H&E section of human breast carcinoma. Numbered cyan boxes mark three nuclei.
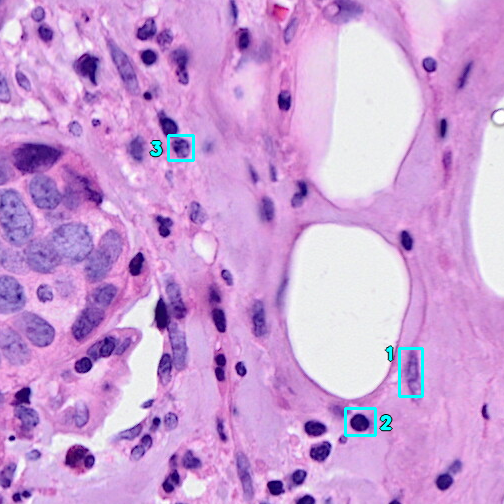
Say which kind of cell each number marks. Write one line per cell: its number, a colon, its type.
1: fibroblast
2: lymphocyte
3: lymphocyte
